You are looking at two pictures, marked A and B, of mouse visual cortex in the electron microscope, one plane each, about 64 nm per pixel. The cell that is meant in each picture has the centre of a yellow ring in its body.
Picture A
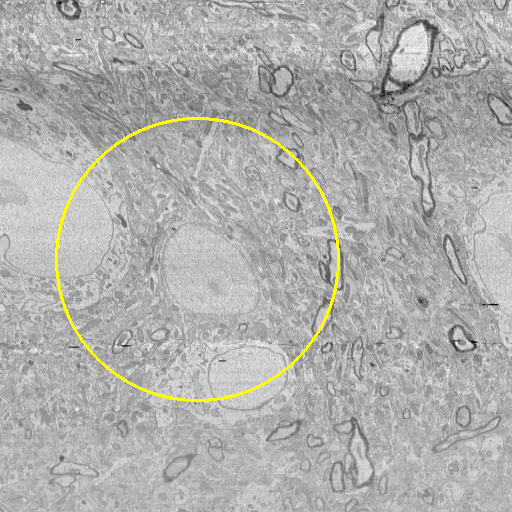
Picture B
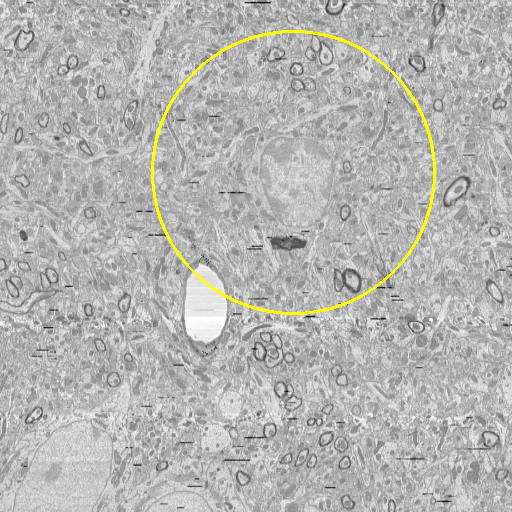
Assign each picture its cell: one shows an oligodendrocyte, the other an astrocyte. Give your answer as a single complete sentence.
It is picture A that shows an astrocyte, and picture B that shows an oligodendrocyte.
